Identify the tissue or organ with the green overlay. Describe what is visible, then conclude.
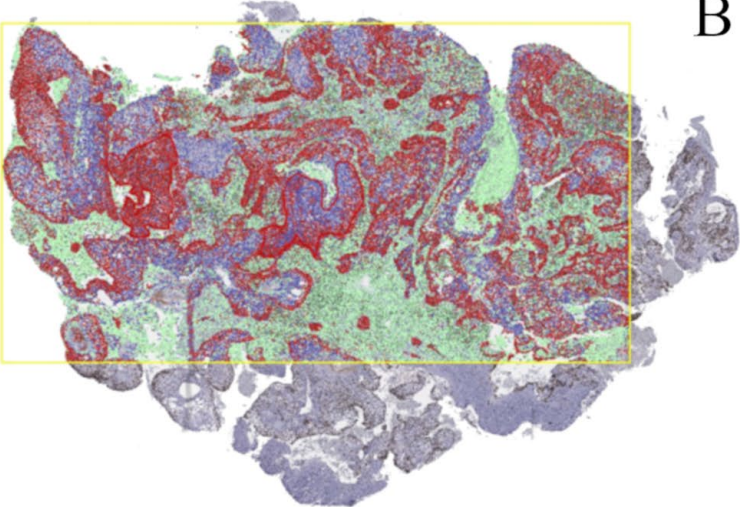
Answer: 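Stroma. The green regions are paler and less cellular than the red- and purple-covered masses.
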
